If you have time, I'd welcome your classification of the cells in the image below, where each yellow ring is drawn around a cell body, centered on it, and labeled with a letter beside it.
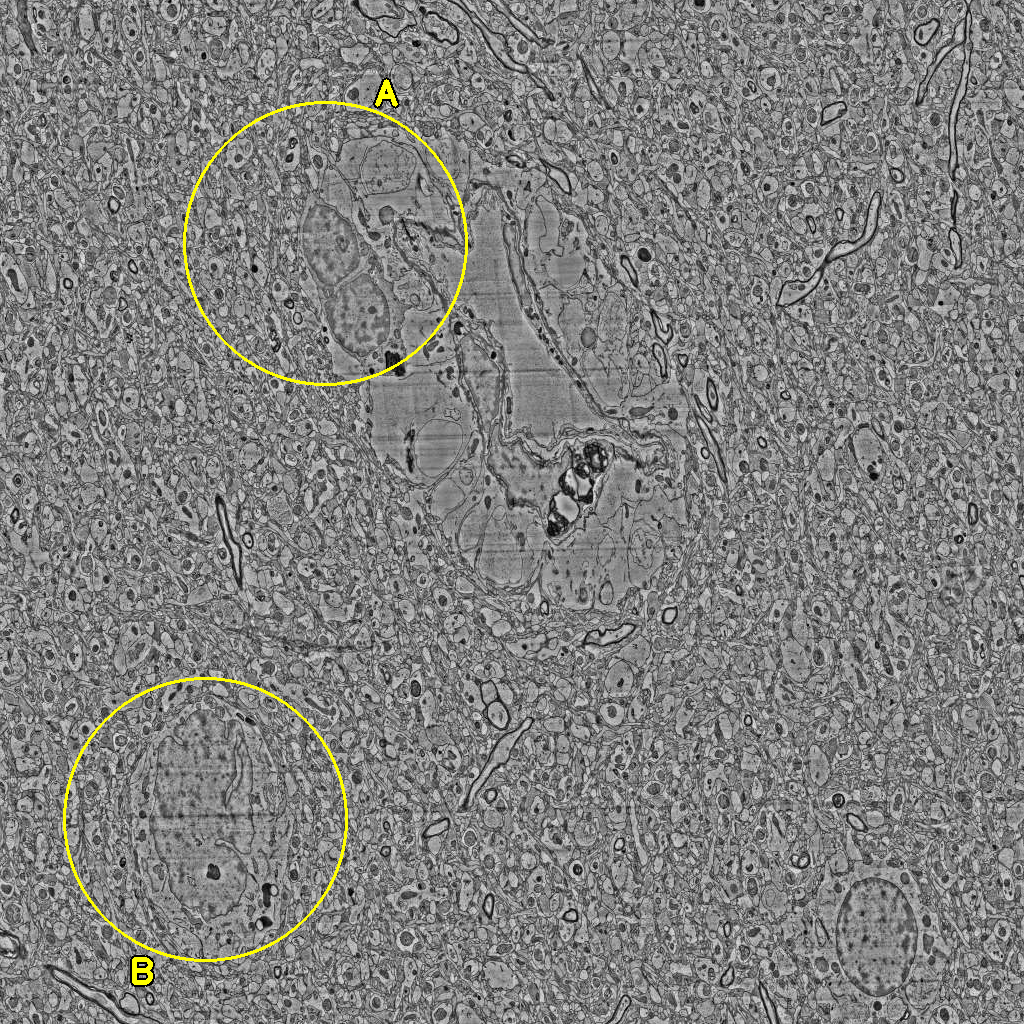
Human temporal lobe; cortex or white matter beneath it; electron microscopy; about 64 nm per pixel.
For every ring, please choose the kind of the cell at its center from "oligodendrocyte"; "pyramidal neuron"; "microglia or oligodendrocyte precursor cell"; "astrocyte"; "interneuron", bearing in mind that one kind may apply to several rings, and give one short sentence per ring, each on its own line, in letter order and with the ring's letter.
At the center of ring A is an oligodendrocyte.
At the center of ring B is an interneuron.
